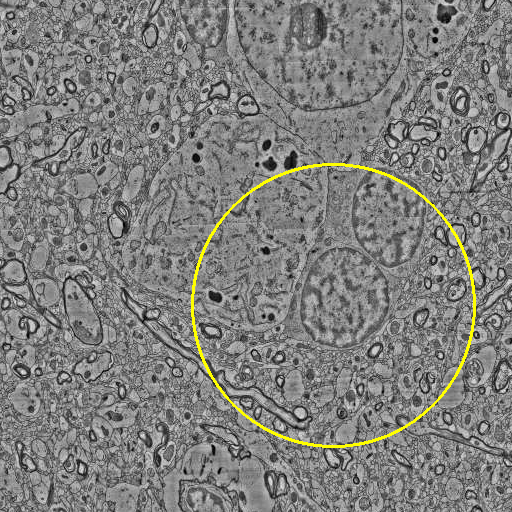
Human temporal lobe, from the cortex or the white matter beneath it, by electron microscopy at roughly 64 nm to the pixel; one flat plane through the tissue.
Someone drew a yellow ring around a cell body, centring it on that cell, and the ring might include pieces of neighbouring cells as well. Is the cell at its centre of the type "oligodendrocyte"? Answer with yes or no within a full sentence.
Yes, within the picture, the cell the ring is centred on qualifies as that type.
